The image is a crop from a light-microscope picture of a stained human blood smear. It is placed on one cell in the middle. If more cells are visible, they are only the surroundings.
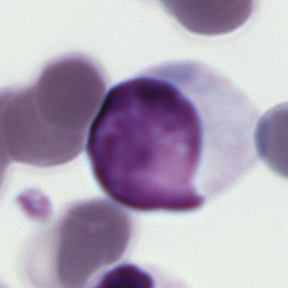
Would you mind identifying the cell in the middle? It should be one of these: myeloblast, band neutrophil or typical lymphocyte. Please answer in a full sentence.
The middle cell in this particular crop is a typical lymphocyte.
